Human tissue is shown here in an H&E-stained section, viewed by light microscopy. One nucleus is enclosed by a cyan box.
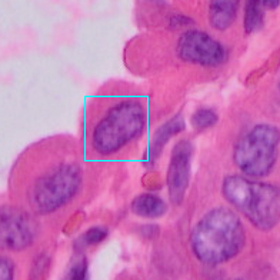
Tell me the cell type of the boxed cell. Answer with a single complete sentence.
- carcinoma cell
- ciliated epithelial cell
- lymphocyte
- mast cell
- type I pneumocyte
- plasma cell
Just put down that the boxed cell is a carcinoma cell.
